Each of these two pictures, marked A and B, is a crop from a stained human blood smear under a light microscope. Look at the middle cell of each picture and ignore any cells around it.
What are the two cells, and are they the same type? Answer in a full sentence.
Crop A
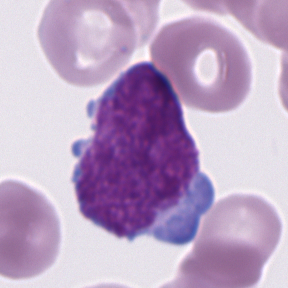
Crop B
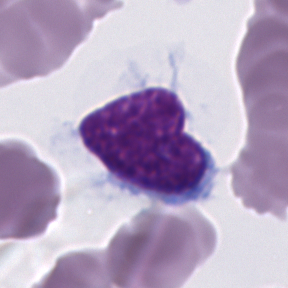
No, just to correct that: crop A shows a myeloblast, crop B shows a hairy cell.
